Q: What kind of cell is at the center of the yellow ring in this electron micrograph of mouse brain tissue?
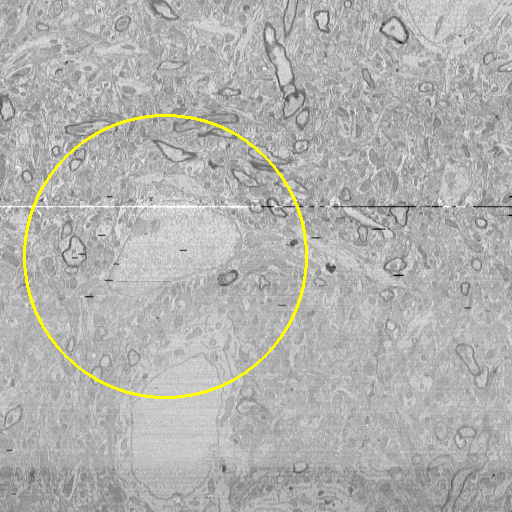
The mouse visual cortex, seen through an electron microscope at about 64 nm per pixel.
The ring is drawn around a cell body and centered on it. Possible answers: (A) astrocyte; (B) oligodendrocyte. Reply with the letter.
A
